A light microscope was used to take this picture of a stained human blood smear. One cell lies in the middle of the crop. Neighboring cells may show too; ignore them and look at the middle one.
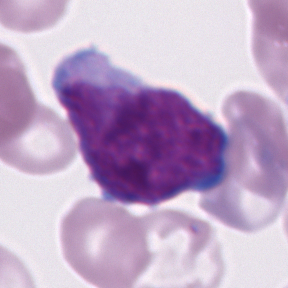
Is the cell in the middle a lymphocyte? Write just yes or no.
no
